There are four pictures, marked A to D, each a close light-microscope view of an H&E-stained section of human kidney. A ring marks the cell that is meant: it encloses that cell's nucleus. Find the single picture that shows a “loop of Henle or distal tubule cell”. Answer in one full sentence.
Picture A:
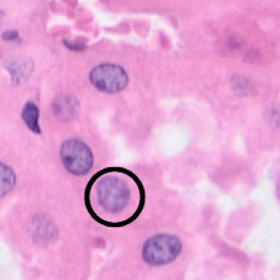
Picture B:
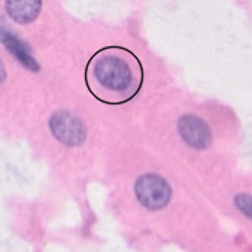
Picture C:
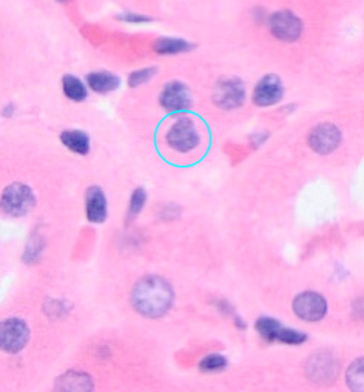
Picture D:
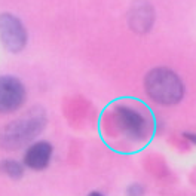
It is picture C that shows the “loop of Henle or distal tubule cell”.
